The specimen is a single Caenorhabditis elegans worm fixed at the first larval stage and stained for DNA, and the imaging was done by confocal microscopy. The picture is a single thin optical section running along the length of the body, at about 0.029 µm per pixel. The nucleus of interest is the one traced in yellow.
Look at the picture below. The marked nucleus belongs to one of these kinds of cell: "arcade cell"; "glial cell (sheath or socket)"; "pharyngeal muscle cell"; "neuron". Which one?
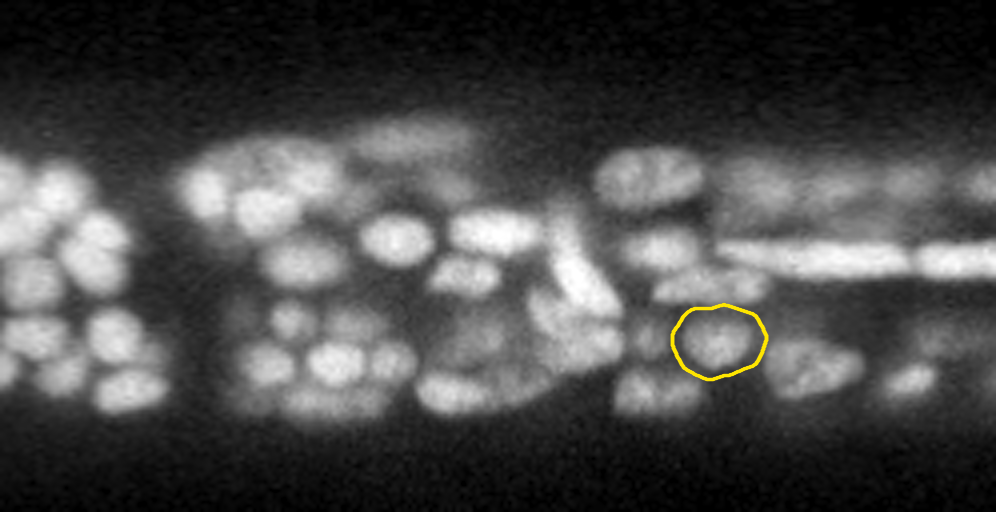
arcade cell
